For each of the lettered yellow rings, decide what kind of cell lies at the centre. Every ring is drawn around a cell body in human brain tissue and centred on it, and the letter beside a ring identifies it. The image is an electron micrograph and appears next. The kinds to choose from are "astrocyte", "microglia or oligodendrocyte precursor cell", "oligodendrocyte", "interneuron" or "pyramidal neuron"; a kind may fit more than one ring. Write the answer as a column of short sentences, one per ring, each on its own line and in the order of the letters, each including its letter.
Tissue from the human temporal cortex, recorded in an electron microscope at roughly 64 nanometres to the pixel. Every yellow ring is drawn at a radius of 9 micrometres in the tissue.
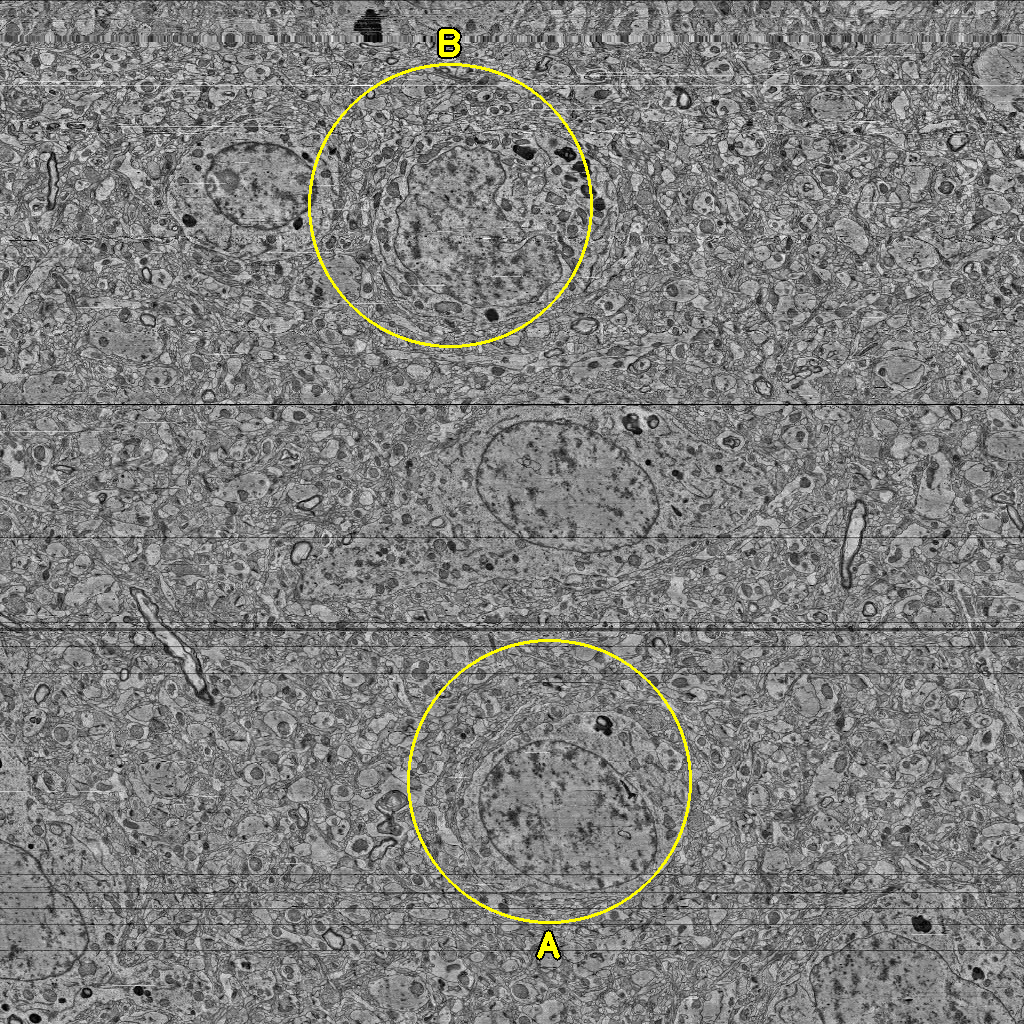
In the centre of ring A lies a pyramidal neuron.
In the centre of ring B lies an interneuron.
